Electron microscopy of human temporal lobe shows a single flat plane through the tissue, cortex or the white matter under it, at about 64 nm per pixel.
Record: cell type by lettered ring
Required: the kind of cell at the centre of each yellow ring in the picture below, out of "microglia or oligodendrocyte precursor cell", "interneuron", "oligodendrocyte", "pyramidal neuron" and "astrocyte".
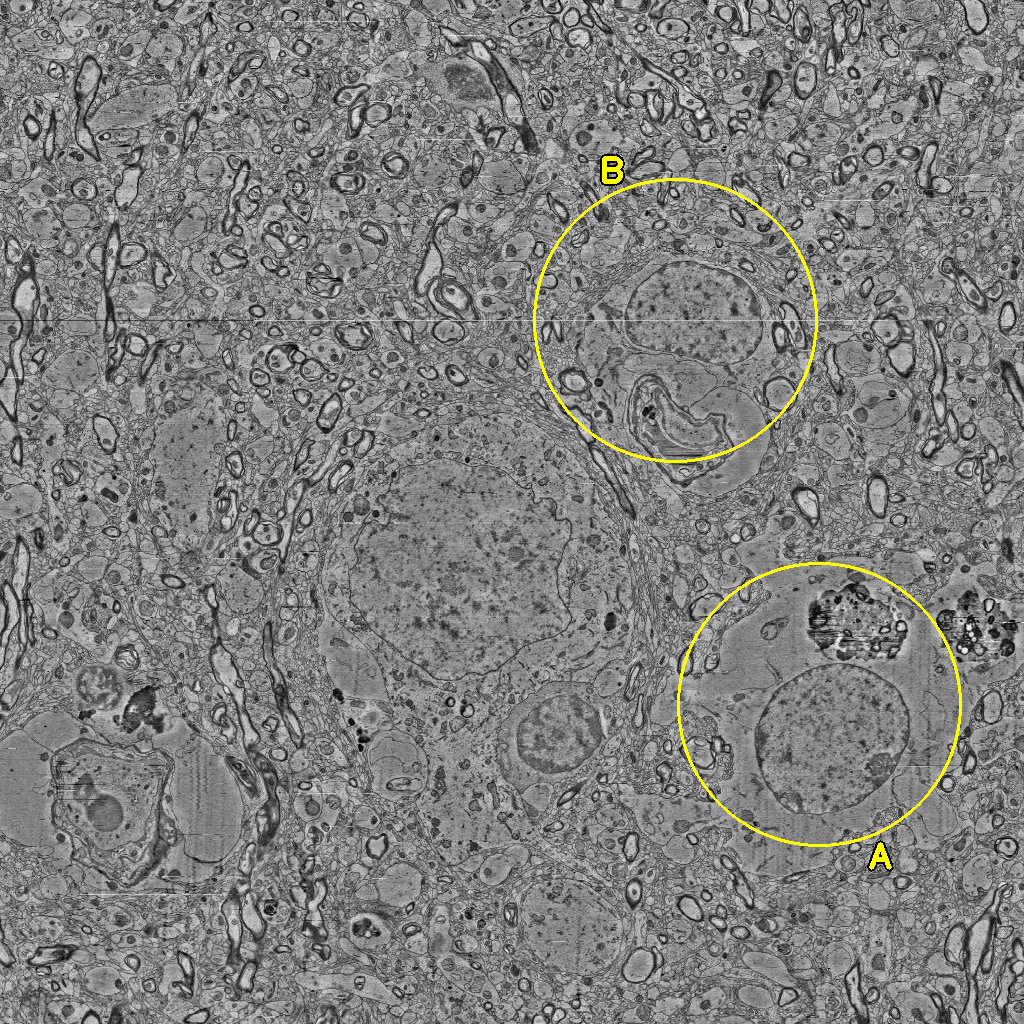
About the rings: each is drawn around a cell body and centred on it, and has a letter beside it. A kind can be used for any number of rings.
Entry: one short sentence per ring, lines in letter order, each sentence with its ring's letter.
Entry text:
At ring A we have an astrocyte.
At ring B we have a microglial cell or oligodendrocyte precursor cell.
